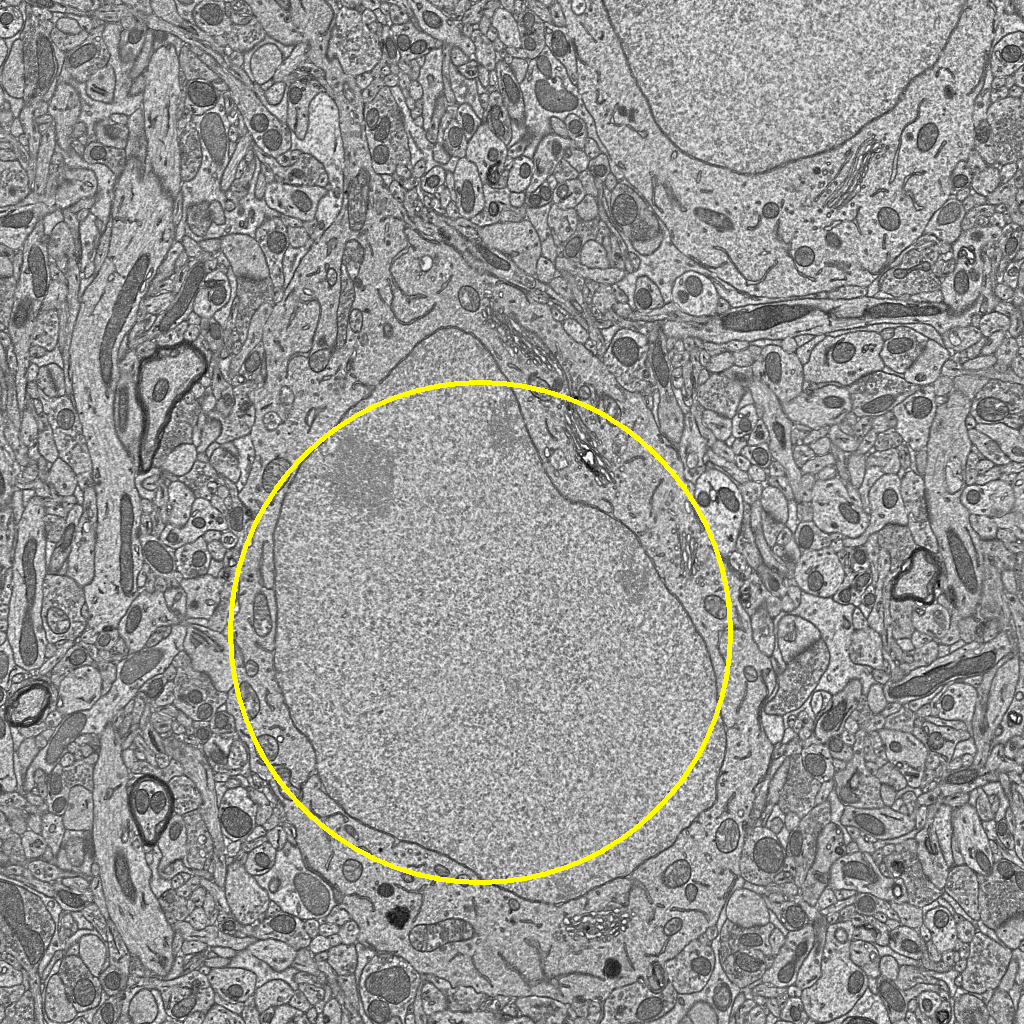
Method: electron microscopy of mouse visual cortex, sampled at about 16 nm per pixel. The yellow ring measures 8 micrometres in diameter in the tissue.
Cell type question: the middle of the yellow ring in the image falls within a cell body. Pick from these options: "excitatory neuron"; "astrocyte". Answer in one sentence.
The cell body at the center of the ring belongs to an excitatory neuron.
